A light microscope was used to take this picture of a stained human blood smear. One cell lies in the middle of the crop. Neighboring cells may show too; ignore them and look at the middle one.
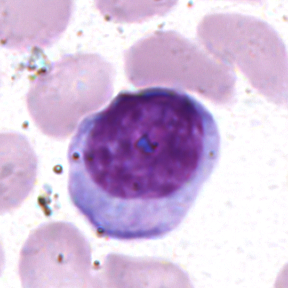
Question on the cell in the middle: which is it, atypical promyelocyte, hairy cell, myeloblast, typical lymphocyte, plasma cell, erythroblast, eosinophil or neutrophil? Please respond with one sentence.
The cell at the central position in this crop is a plasma cell.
